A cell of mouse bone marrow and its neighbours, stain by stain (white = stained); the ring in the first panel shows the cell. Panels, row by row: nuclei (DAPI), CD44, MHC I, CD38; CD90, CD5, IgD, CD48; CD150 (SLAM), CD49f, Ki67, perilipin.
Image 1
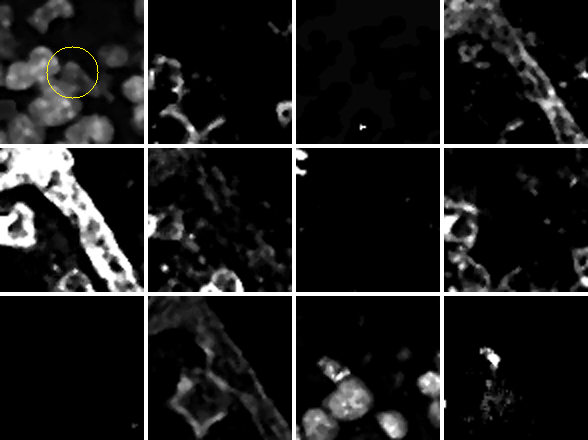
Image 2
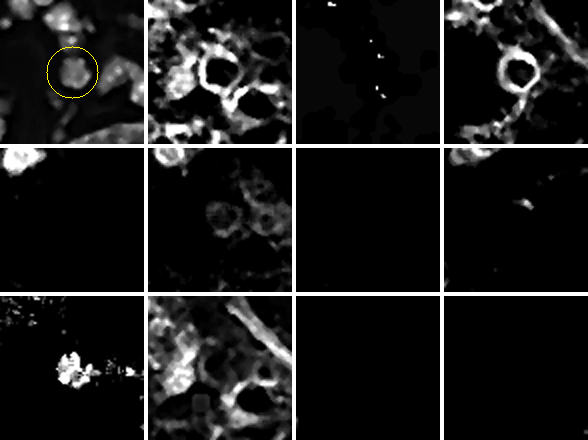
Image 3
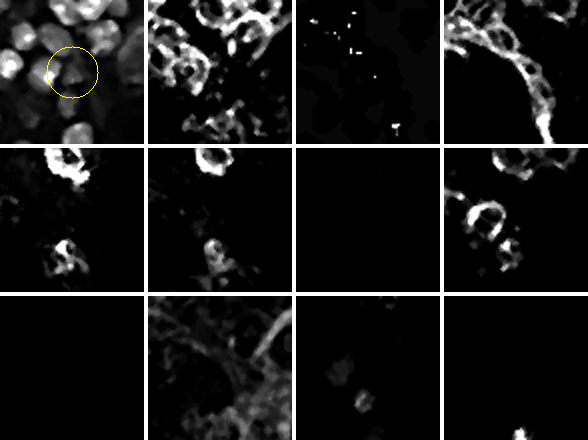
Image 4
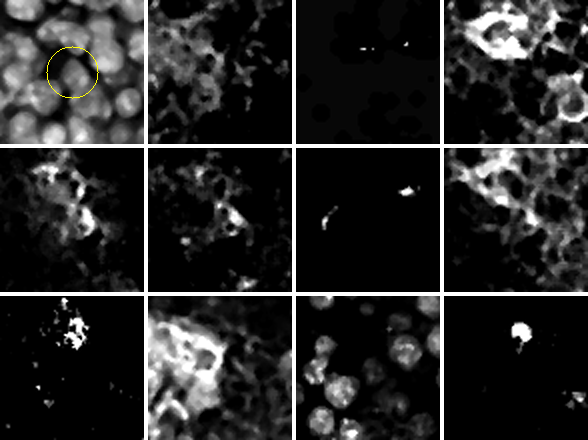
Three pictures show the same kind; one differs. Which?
Picture 4: a T cell, while the others are capillary endothelial cells.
